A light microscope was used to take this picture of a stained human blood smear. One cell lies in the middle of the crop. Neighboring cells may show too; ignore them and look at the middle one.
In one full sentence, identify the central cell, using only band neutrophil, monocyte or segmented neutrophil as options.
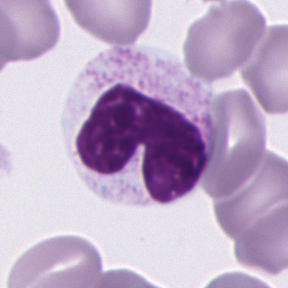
The crop centres on a single cell, and that cell is a band neutrophil.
